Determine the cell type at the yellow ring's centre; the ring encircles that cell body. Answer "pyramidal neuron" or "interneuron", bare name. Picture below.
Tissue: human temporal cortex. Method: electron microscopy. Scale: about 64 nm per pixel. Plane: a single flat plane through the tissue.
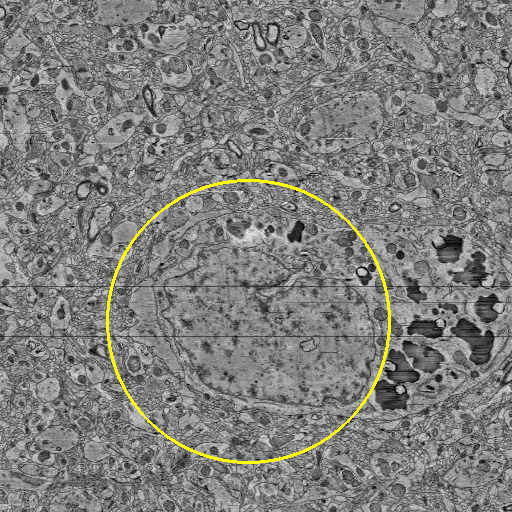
interneuron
